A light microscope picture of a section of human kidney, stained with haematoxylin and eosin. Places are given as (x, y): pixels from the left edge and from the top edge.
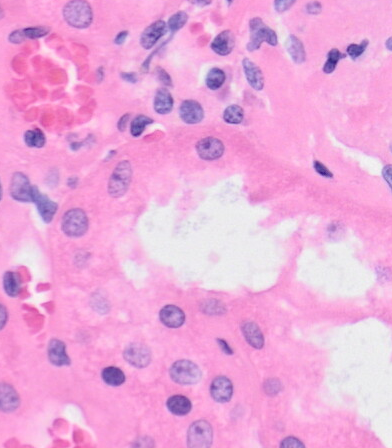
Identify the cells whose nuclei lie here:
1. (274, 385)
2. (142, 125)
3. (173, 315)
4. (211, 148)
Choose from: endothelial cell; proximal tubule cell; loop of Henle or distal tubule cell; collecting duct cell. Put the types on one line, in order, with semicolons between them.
proximal tubule cell; endothelial cell; proximal tubule cell; proximal tubule cell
